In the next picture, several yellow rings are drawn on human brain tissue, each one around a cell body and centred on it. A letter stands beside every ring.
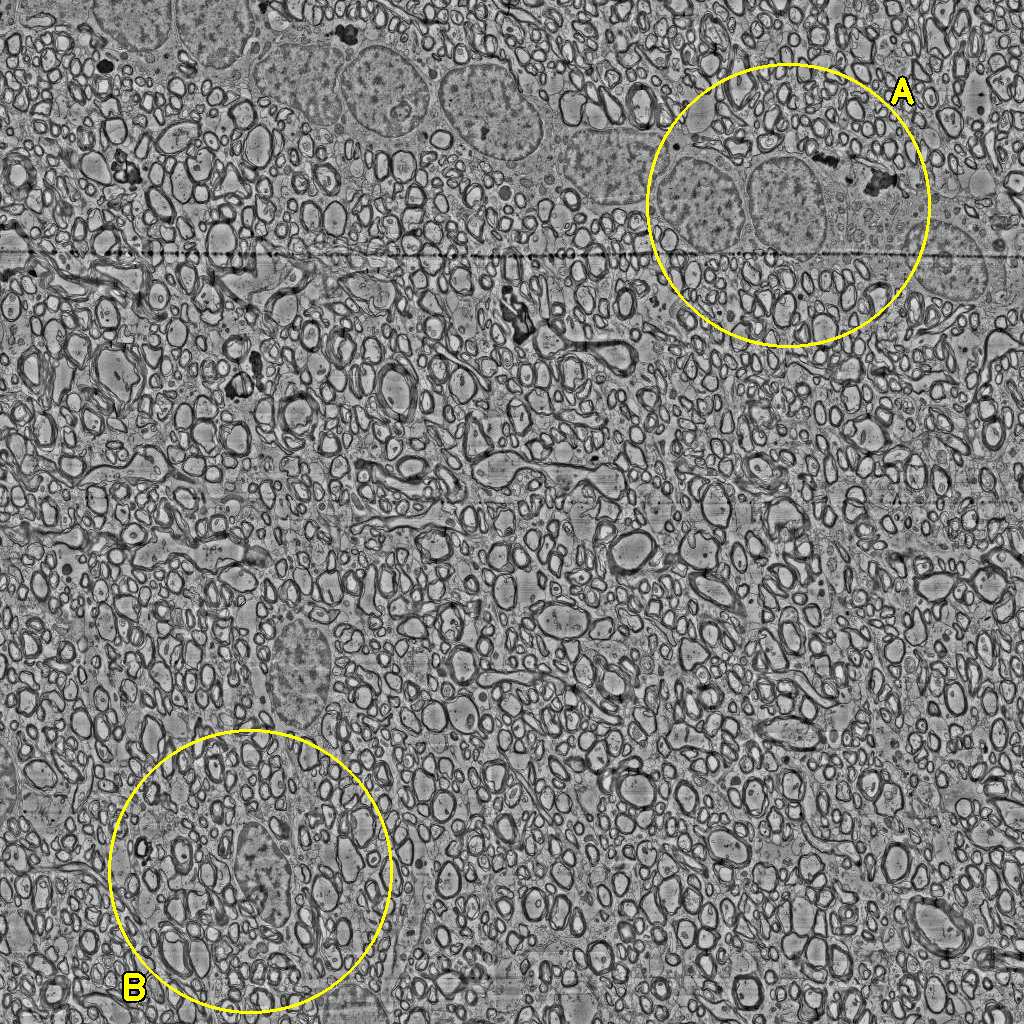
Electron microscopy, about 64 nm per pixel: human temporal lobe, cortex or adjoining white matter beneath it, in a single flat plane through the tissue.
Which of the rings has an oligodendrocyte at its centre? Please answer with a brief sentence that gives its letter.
Ring A has it at its centre.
